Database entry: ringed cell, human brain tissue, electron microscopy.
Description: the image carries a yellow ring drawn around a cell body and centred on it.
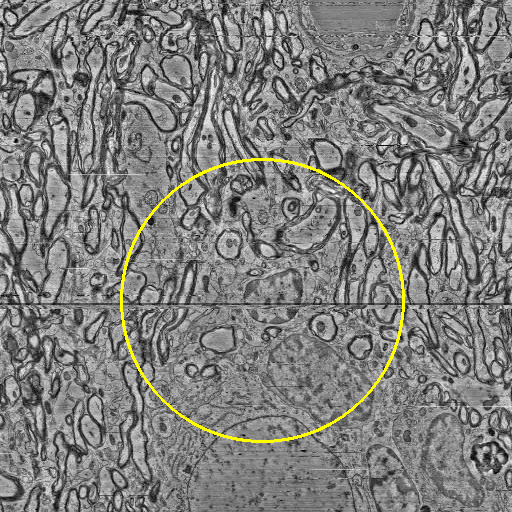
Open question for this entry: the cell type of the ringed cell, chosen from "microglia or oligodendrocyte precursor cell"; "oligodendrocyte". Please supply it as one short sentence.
The ringed cell is a microglial cell or oligodendrocyte precursor cell.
